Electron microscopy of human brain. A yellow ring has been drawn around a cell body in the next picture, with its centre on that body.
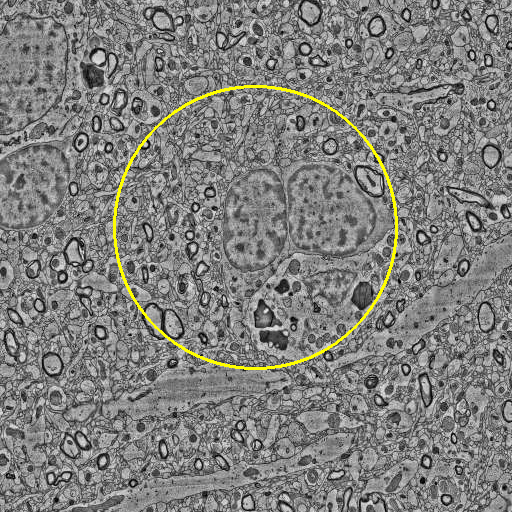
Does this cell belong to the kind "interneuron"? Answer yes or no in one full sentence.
No, the ringed cell in this picture, sitting at the ring's centre, is of another kind.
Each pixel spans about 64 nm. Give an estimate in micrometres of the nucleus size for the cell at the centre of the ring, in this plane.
In this plane, about 7 micrometres in length and 4 in width.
